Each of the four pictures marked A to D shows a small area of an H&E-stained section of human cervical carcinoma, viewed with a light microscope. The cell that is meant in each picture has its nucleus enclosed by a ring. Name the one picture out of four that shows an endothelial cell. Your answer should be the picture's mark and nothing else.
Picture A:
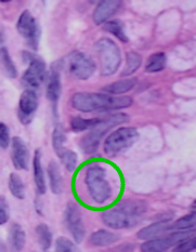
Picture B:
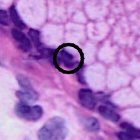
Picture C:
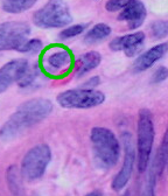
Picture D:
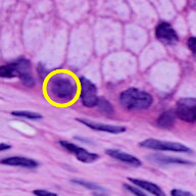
C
